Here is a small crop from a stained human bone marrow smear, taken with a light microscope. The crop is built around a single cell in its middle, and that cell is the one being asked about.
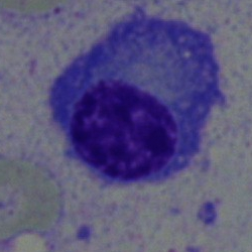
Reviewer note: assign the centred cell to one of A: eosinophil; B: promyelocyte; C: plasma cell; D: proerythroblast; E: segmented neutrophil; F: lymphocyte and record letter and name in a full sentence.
What sits in the middle of the crop is a plasma cell, and option C is correct.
